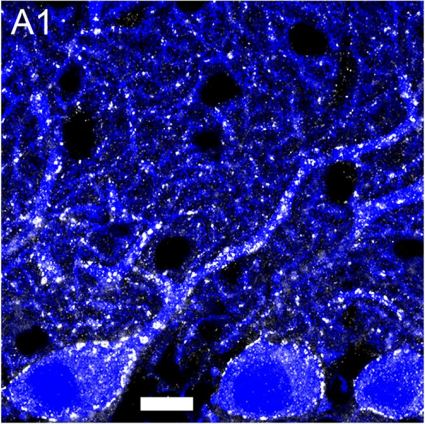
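This is the cerebellar cortex with large Purkinje cells whose rounded cell bodies sit in a row along the bottom of the image. Their cell bodies fill with blue, and thick blue dendritic trunks rise from them and branch into a dense blue meshwork of the molecular layer above. Many small bright white puncta cluster along the surface of the cell bodies and along the proximal dendritic trunks. Scattered dark round holes in the molecular layer mark unlabelled cells lying between the dendrites.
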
